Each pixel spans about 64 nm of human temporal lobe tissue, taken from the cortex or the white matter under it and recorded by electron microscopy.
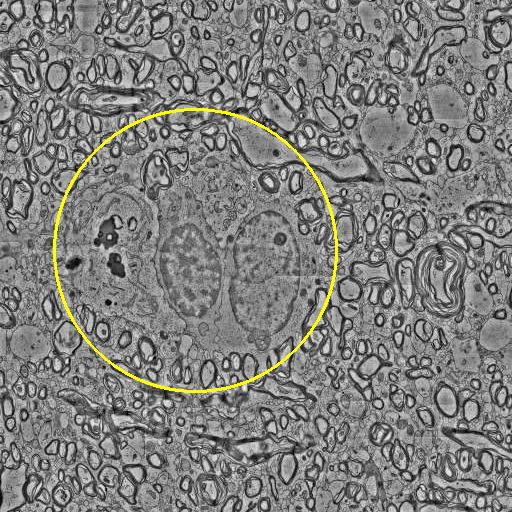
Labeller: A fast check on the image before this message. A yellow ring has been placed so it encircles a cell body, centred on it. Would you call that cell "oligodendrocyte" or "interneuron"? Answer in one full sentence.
In this image, an oligodendrocyte is the cell on which the yellow ring is centred.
